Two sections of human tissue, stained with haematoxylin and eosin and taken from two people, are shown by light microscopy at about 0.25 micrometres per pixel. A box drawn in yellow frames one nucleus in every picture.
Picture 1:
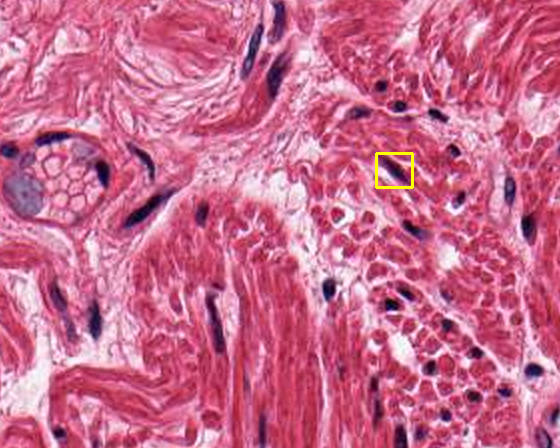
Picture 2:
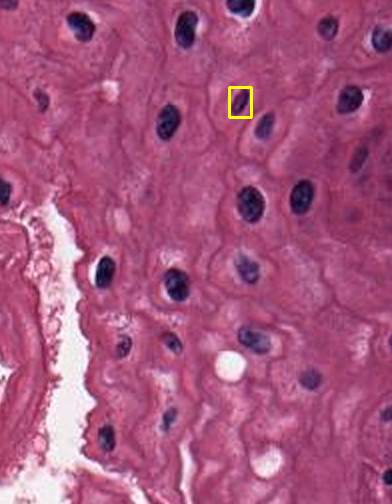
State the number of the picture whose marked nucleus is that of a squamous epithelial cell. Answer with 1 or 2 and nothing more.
2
